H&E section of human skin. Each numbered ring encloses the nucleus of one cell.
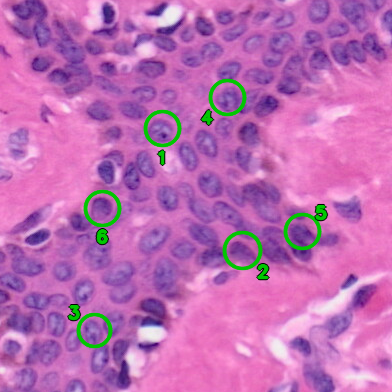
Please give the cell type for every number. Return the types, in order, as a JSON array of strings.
["suprabasal keratinocyte", "basal keratinocyte", "suprabasal keratinocyte", "basal keratinocyte", "basal keratinocyte", "basal keratinocyte"]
